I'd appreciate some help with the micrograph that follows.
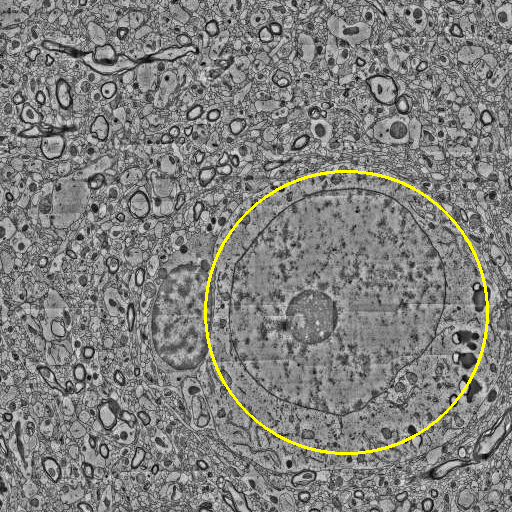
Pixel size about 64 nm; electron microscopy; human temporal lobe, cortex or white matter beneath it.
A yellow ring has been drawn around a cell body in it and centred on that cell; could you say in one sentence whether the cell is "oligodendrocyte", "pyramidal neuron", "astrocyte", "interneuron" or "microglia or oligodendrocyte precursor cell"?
It is a pyramidal neuron at the centre of the ring.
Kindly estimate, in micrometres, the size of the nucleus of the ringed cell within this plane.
Roughly 14 micrometers across in this plane.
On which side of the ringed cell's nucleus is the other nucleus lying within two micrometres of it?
The other nucleus is positioned to the left of it.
